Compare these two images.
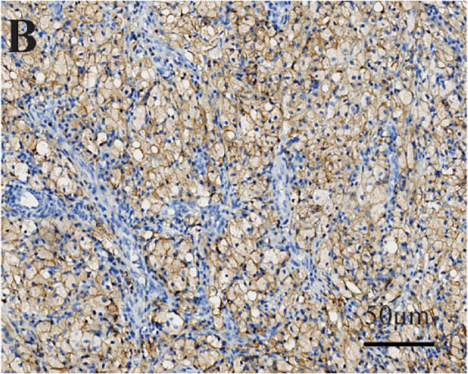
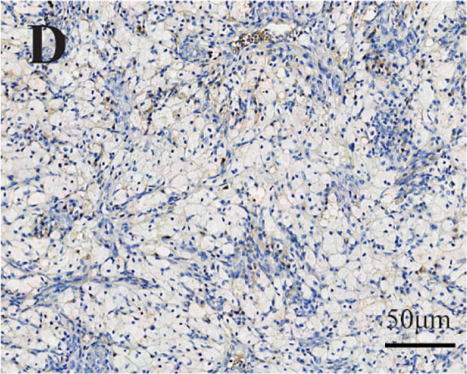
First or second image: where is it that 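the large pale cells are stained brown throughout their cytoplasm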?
The first image.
